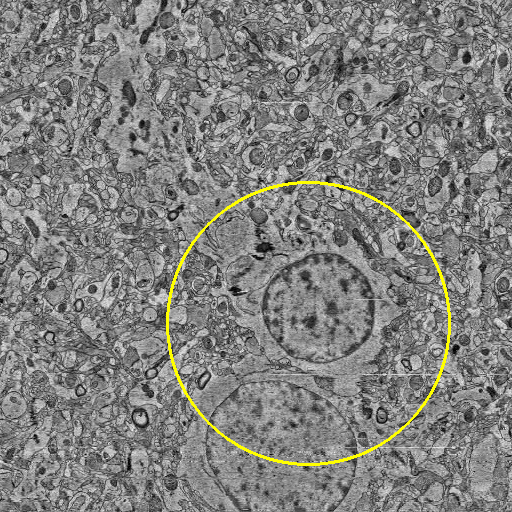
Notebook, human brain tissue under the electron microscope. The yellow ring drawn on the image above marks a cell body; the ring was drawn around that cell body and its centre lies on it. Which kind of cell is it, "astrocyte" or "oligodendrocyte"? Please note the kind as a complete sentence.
The marked cell body is that of an astrocyte.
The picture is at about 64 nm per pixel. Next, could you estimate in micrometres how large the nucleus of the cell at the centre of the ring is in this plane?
Roughly 7 micrometres across, measured in this plane.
